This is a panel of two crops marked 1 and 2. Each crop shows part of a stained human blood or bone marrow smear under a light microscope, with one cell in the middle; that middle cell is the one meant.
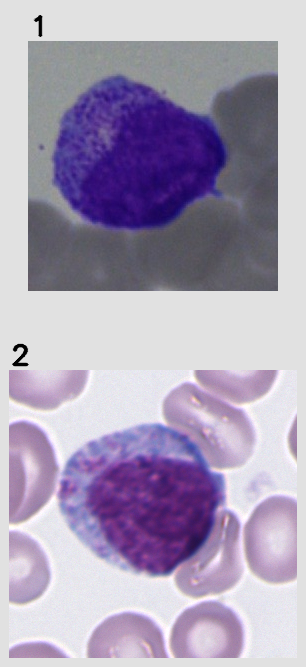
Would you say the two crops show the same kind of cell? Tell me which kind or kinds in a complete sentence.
Yes, the cells centred in the two crops are both myelocytes.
